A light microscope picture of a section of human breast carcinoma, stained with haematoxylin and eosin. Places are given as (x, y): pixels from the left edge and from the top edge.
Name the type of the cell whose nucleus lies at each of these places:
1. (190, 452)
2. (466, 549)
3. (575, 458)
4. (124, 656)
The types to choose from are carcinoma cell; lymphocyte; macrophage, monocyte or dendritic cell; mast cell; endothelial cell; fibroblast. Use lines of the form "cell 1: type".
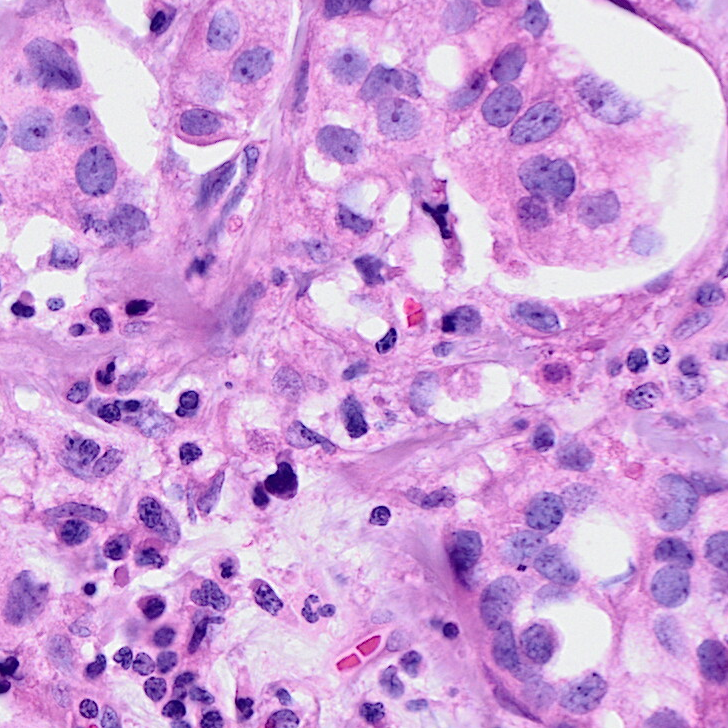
cell 1: lymphocyte
cell 2: carcinoma cell
cell 3: carcinoma cell
cell 4: lymphocyte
